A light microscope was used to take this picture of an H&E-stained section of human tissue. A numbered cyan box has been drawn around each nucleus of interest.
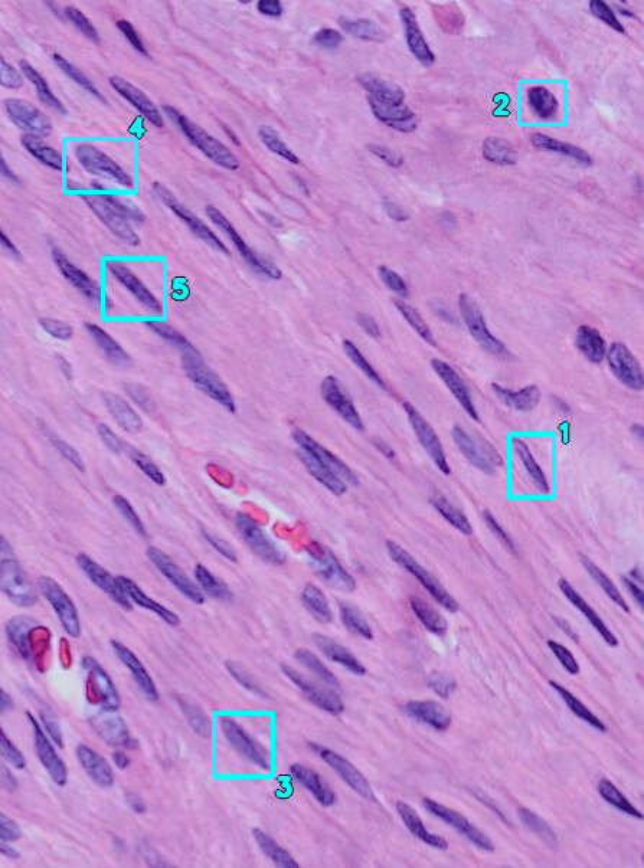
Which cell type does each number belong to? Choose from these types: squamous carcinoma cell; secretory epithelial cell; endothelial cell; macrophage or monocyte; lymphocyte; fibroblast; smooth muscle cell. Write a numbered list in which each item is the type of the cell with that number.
1. fibroblast
2. lymphocyte
3. fibroblast
4. endothelial cell
5. fibroblast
